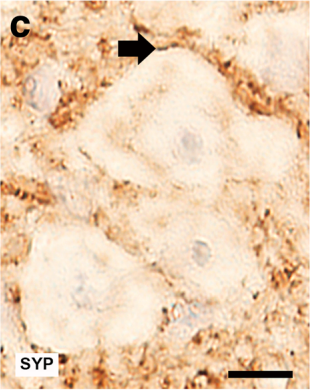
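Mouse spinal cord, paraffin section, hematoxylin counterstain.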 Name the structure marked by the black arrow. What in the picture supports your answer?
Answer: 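The arrow points to brown granular dots at the edge of a large pale cell body. Brown punctate deposits lie along the outline of the large cells. On this evidence: synapse.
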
